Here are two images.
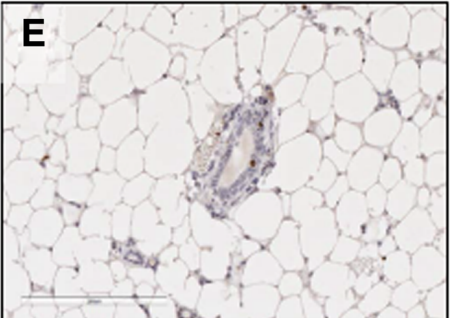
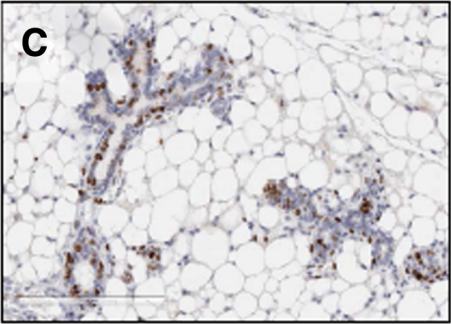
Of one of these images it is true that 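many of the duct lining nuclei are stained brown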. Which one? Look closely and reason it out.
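The second image. First image: the small duct shows mostly blue nuclei with hardly any brown ones. Second image: brown nuclei are numerous along the lining of the branching ducts.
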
